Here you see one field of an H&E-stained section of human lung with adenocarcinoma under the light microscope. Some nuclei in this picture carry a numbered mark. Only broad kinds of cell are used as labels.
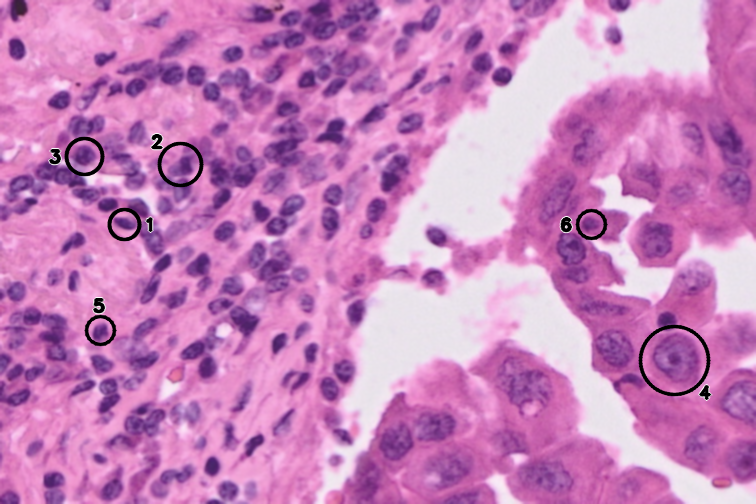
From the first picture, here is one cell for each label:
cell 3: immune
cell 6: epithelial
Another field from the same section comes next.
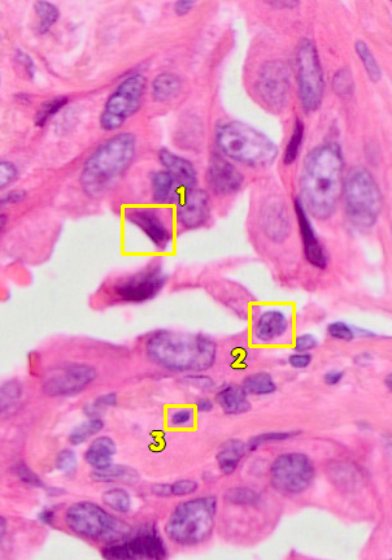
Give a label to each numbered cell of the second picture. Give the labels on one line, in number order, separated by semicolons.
epithelial; immune; immune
